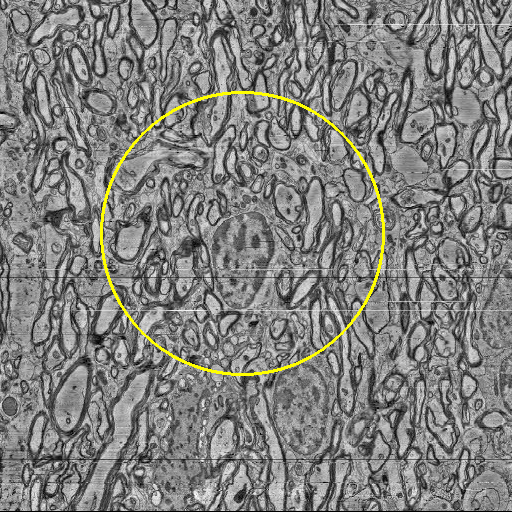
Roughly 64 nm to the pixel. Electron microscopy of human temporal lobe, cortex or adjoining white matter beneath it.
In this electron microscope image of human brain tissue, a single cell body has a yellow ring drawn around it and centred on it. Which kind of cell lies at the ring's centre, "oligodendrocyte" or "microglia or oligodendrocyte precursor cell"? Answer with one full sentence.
It is a microglial cell or oligodendrocyte precursor cell whose cell body lies at the centre of the yellow ring here.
